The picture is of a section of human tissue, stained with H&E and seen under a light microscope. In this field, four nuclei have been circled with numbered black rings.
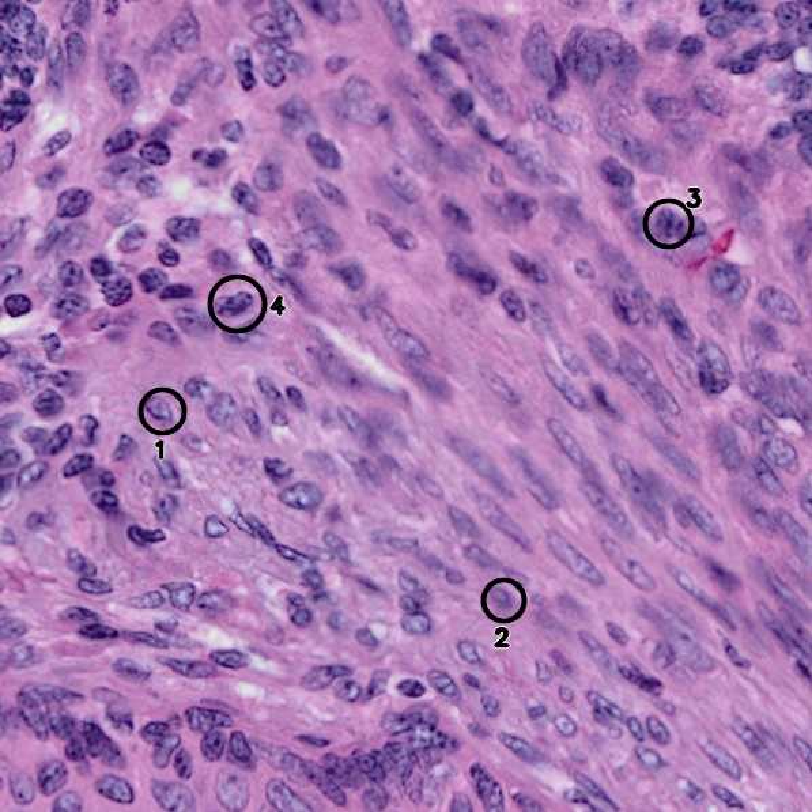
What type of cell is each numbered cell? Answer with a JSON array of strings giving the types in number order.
["smooth muscle cell", "smooth muscle cell", "lymphocyte", "lymphocyte"]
